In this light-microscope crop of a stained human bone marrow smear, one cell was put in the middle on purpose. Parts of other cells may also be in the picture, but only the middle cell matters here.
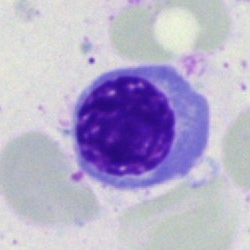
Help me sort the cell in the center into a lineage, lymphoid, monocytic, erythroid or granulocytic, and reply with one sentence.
Lineage field for the centered cell should read erythroid.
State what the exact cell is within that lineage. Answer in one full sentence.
Looking at the middle of the crop, the cell there is an erythroblast.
